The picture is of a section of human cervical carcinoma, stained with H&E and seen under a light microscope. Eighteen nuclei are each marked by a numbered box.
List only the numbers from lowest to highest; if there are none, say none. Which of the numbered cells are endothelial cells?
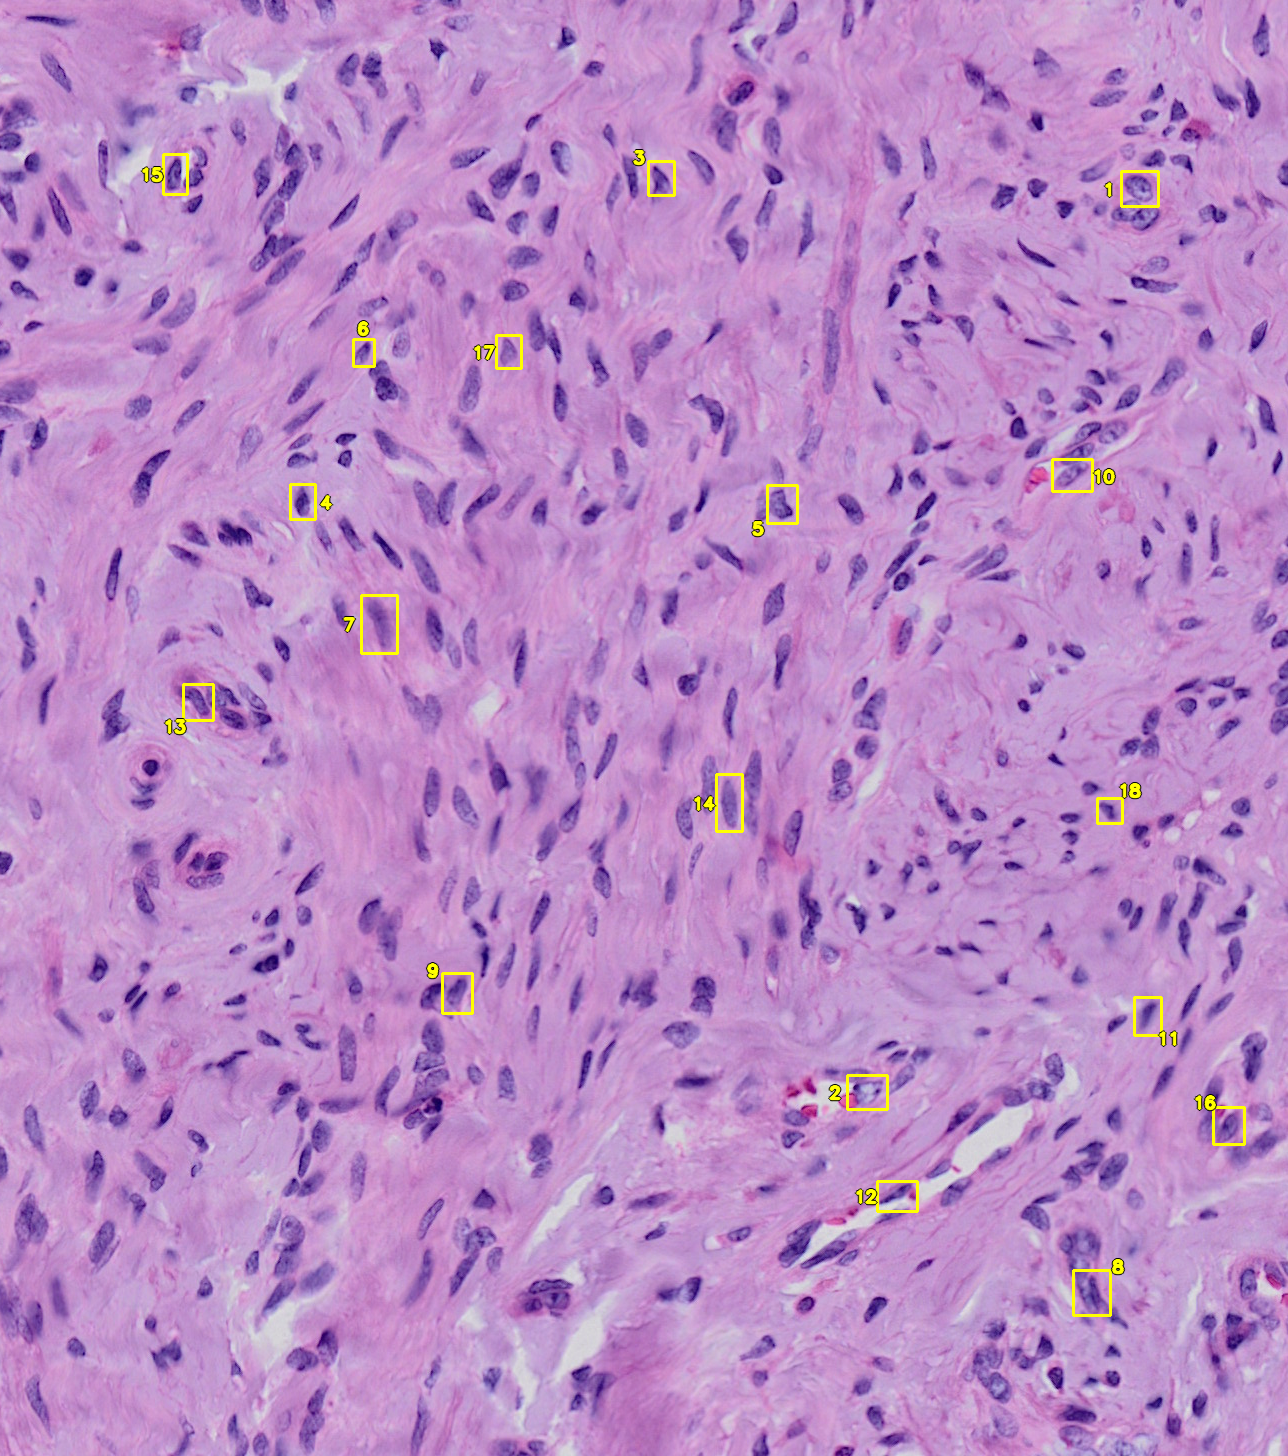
1, 2, 8, 10, 12, 13, 15, 16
